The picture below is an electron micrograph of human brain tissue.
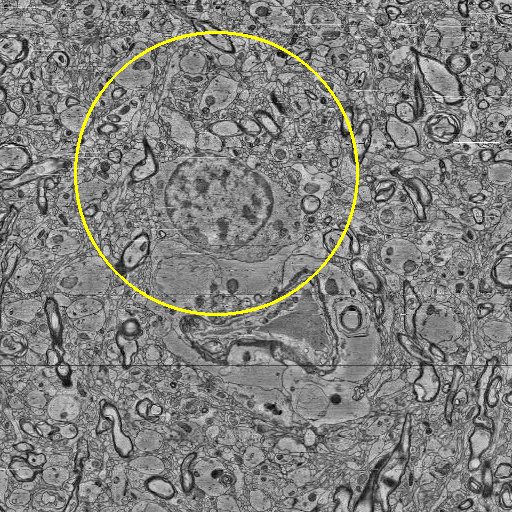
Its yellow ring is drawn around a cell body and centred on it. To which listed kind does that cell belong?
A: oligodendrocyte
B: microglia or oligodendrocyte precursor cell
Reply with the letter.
A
